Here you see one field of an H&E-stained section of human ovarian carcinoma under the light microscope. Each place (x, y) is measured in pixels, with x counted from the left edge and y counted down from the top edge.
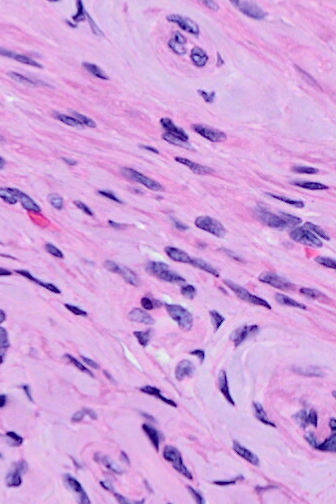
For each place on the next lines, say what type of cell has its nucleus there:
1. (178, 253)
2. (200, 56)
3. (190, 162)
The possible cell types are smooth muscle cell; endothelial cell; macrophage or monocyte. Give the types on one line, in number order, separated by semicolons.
smooth muscle cell; endothelial cell; smooth muscle cell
